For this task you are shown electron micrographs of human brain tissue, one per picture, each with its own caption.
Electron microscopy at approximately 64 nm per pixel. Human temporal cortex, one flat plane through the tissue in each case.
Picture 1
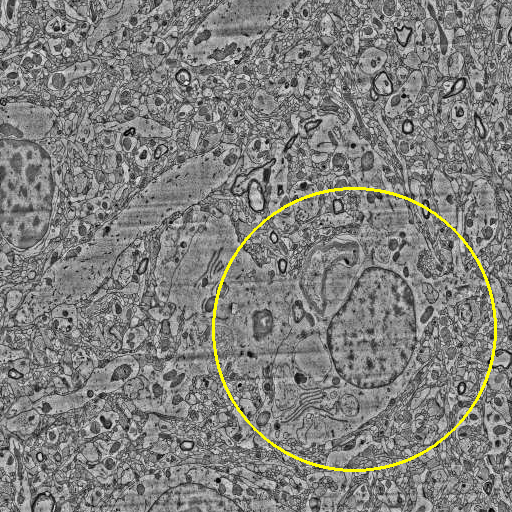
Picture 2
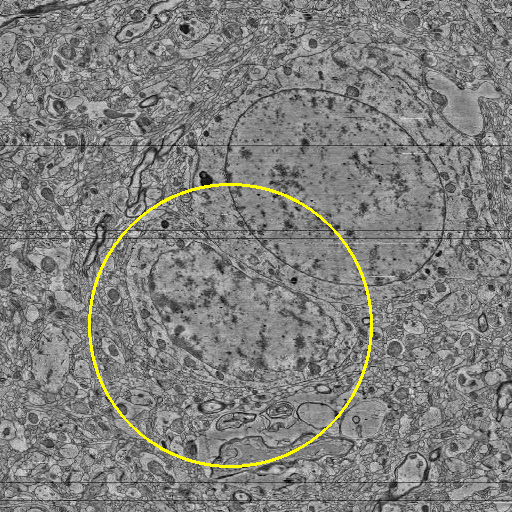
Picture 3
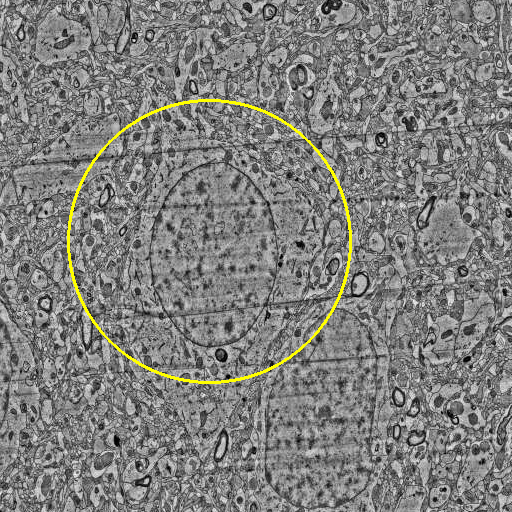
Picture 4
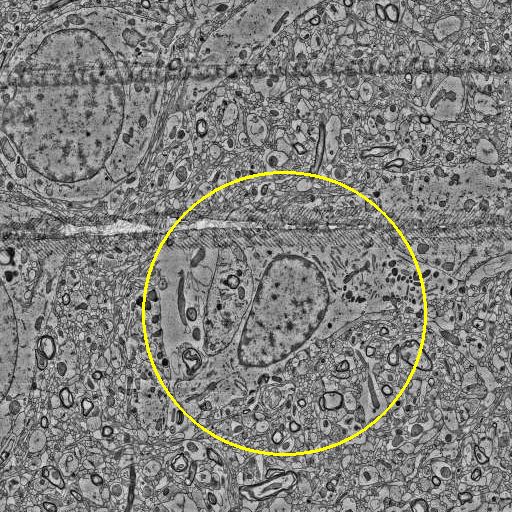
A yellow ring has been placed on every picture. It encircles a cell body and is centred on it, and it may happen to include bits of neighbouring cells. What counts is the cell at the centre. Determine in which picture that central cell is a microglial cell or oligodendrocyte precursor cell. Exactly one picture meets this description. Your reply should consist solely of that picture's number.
4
